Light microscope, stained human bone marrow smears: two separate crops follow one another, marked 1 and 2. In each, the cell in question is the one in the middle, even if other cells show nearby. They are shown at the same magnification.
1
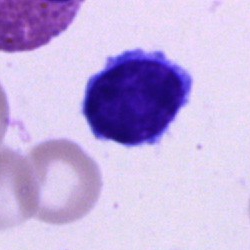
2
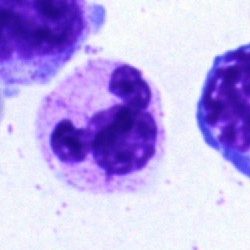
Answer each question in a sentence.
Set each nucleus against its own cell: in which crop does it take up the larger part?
The nucleus fills more of the cell in crop 1 than in crop 2.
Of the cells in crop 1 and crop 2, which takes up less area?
It is the cell in crop 1; the cell in crop 2 has about 1.5 times its area.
